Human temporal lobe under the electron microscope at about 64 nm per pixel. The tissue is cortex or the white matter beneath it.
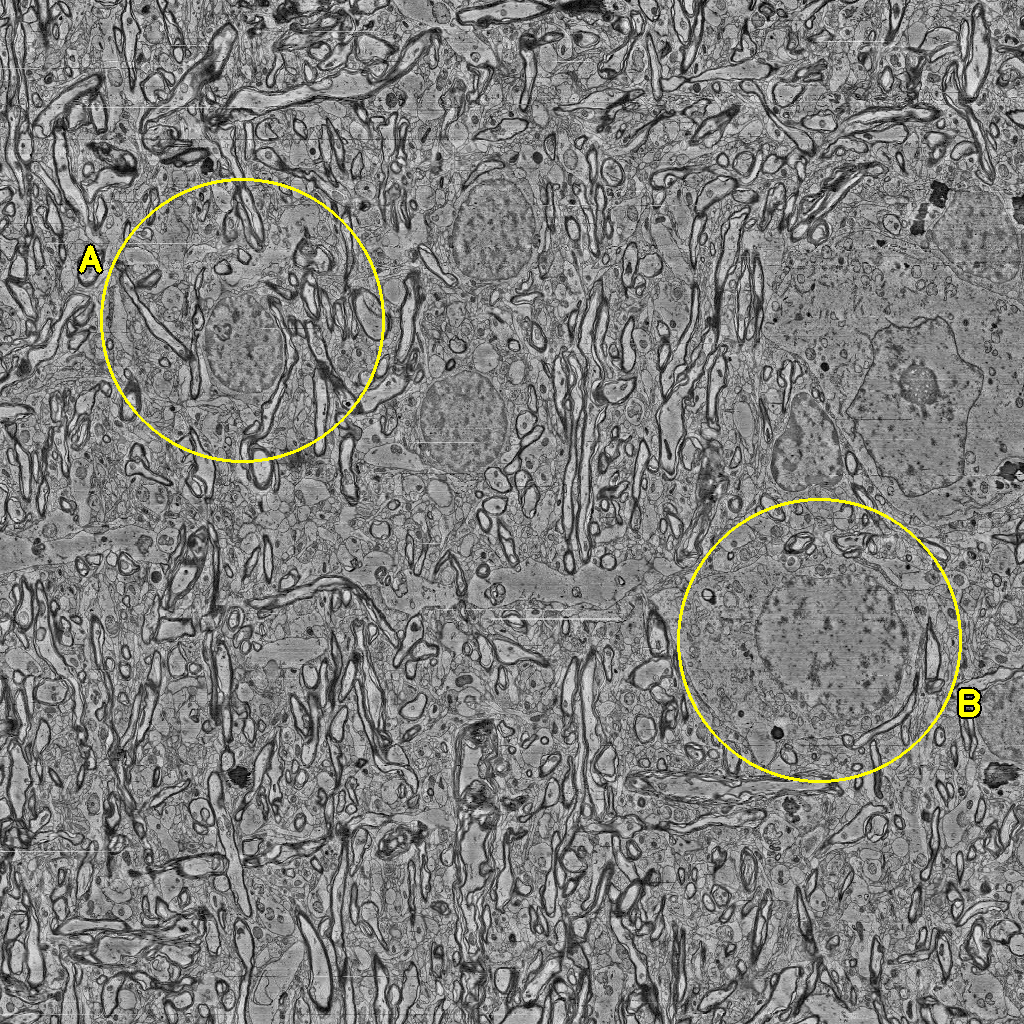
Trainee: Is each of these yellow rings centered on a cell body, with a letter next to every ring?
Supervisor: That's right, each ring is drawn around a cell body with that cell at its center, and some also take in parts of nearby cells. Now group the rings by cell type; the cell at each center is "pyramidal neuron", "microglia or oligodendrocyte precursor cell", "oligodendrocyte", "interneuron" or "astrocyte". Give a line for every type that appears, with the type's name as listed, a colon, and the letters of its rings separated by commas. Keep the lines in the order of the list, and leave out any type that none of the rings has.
oligodendrocyte: A
interneuron: B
